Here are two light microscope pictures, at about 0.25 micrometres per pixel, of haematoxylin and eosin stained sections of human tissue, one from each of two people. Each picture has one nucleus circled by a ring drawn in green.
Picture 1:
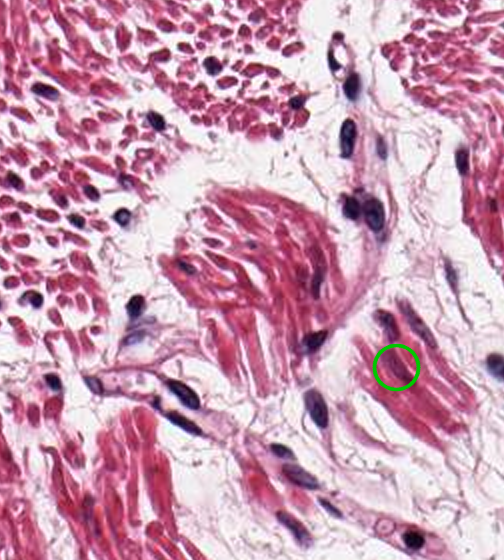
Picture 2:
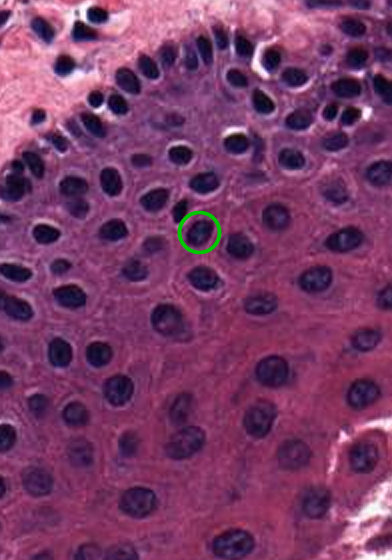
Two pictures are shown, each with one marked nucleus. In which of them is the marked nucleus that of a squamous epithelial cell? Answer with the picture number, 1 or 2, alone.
2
